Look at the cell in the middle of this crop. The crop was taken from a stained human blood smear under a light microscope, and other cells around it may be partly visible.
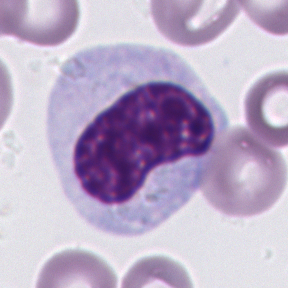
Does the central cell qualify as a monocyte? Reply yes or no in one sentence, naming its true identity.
No, a band neutrophil rather than a monocyte is the cell at the centre of the crop.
